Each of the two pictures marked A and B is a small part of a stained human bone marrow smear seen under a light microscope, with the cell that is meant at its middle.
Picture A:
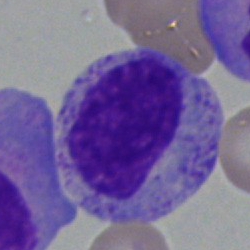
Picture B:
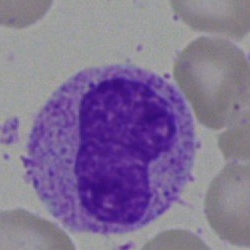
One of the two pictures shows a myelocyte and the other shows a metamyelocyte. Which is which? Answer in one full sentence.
It is picture A that shows a myelocyte, and picture B that shows a metamyelocyte.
